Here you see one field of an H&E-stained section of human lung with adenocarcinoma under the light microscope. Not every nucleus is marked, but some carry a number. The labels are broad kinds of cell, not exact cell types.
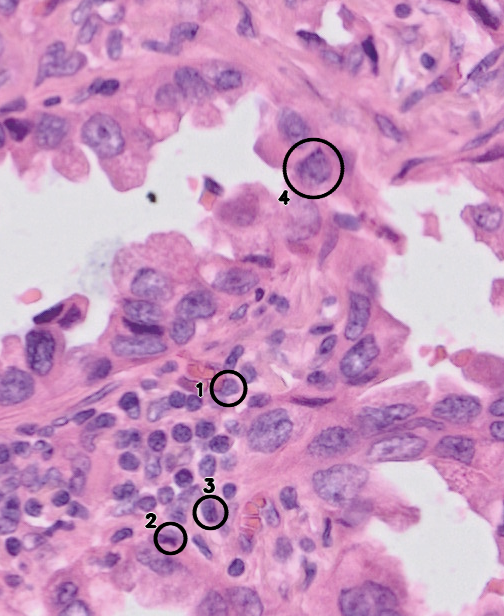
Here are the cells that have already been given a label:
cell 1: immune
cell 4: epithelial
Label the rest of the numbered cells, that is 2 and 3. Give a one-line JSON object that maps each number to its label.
{"2": "immune", "3": "immune"}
